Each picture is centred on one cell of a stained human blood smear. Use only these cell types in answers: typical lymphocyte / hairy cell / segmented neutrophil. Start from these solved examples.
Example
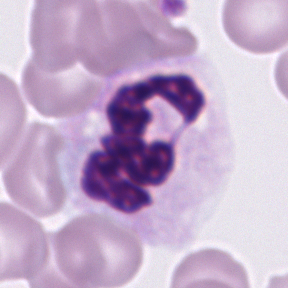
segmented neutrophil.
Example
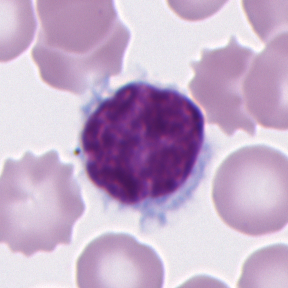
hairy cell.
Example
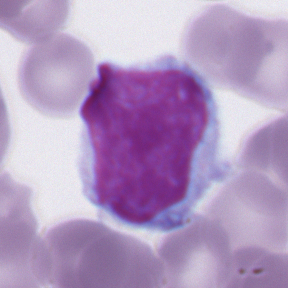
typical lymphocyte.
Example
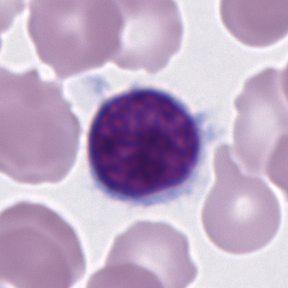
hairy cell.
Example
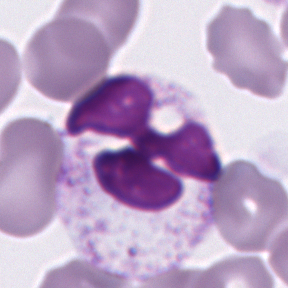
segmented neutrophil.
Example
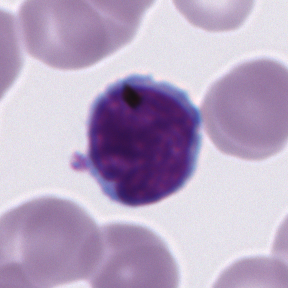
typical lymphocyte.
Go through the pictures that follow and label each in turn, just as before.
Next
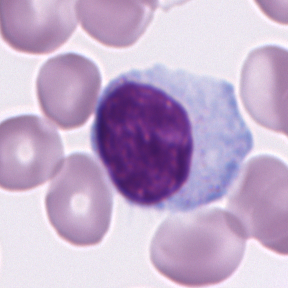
typical lymphocyte.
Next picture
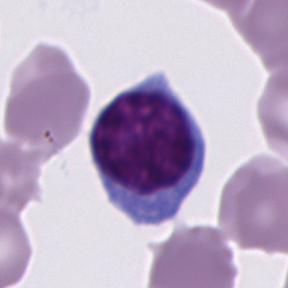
typical lymphocyte.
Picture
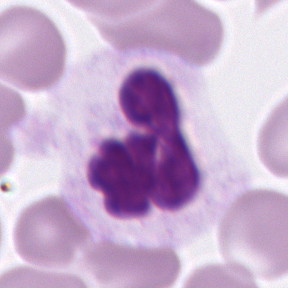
segmented neutrophil.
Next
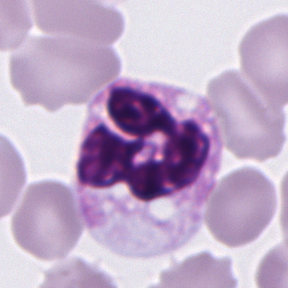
segmented neutrophil.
